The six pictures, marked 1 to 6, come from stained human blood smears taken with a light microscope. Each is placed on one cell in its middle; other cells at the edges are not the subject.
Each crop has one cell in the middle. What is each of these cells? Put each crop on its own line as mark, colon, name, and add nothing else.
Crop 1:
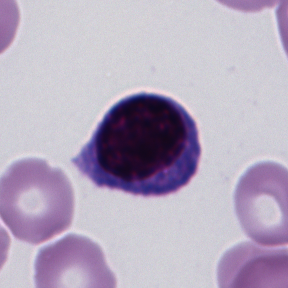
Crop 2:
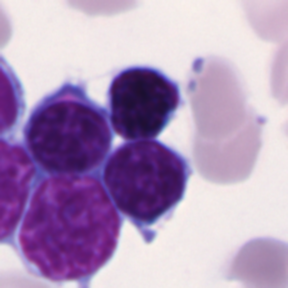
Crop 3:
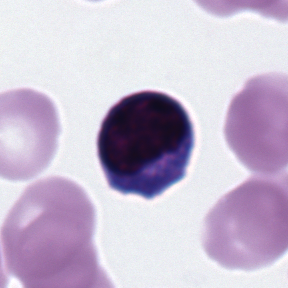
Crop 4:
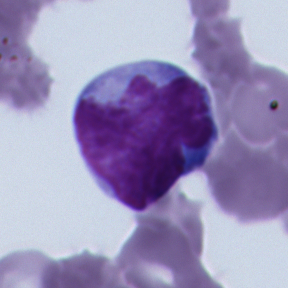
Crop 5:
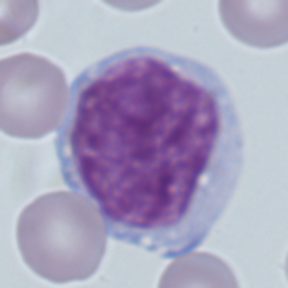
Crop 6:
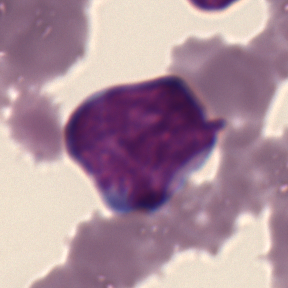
1: typical lymphocyte
2: myeloblast
3: typical lymphocyte
4: myeloblast
5: myeloblast
6: myeloblast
